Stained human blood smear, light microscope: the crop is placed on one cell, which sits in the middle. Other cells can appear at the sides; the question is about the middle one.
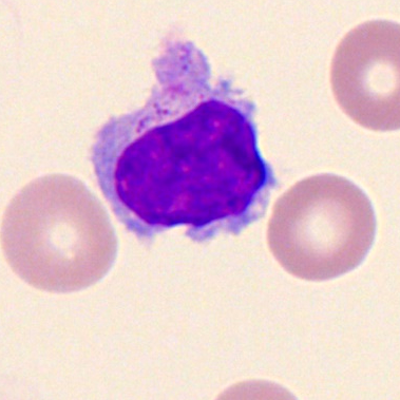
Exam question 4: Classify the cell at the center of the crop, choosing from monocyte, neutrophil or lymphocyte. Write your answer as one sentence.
The central element of this crop is a cell, namely a lymphocyte.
